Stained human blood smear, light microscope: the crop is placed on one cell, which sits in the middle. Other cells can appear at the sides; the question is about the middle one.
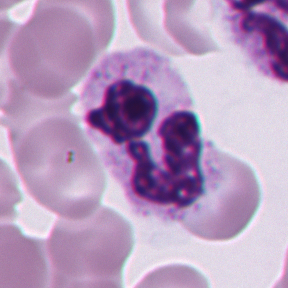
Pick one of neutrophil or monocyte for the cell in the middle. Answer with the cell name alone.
neutrophil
